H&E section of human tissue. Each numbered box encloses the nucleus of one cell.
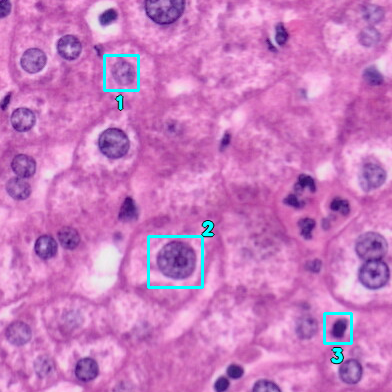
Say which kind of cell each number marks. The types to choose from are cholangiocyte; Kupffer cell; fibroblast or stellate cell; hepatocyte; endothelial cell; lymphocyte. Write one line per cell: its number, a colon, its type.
1: hepatocyte
2: hepatocyte
3: lymphocyte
